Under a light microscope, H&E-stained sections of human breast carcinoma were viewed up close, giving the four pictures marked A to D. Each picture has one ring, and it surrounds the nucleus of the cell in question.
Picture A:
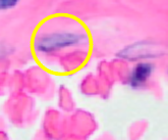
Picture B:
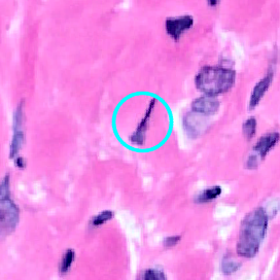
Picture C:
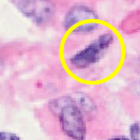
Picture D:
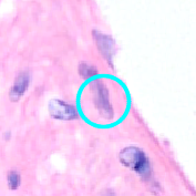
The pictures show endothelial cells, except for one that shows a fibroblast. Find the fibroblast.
B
